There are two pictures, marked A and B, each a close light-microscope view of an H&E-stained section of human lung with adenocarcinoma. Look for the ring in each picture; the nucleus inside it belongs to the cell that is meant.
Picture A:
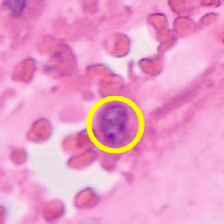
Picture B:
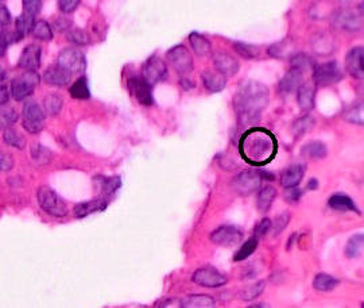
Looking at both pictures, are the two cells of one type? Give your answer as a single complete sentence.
No, picture A shows a “macrophage or monocyte” and picture B shows a ciliated epithelial cell.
